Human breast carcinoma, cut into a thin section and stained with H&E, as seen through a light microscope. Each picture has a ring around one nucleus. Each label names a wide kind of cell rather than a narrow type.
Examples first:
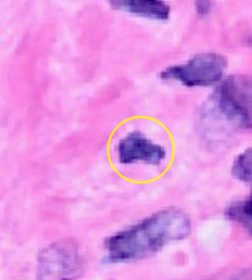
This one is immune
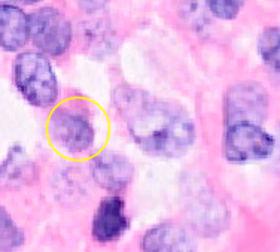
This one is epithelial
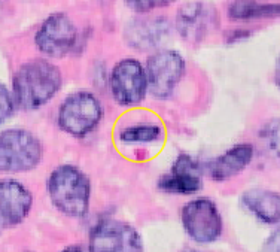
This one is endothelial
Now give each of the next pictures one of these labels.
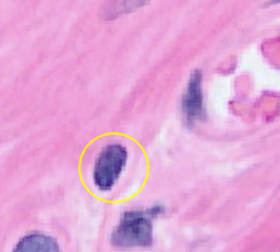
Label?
immune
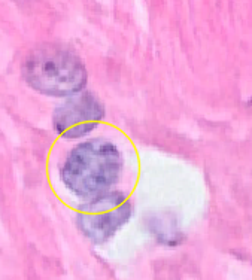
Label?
epithelial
